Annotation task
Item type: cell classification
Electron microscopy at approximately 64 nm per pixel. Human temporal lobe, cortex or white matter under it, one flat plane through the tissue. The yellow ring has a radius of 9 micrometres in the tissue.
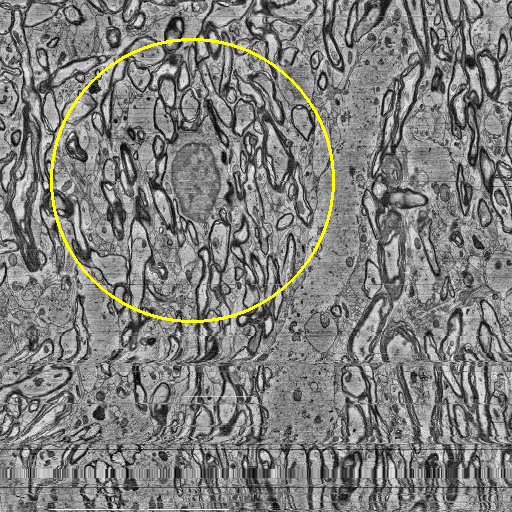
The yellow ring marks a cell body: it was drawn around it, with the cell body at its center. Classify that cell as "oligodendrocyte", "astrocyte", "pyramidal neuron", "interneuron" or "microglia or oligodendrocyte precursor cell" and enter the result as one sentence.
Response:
The ring's center falls on an oligodendrocyte.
